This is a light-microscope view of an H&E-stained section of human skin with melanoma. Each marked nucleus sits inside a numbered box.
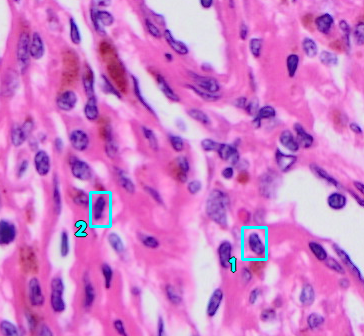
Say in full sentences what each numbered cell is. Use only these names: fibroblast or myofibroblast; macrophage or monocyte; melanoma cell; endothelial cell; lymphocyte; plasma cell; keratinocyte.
Cell 1 is a lymphocyte. Cell 2 is a plasma cell.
